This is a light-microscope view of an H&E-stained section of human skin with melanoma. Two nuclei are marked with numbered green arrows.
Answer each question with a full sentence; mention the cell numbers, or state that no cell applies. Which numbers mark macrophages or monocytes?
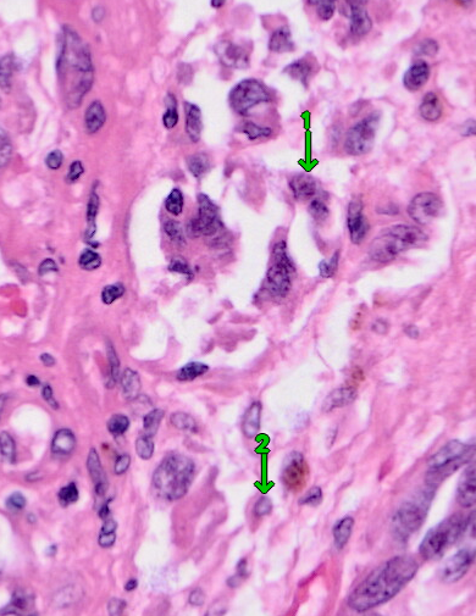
Exactly one of the numbered cells is a macrophage or monocyte, namely cell 2.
